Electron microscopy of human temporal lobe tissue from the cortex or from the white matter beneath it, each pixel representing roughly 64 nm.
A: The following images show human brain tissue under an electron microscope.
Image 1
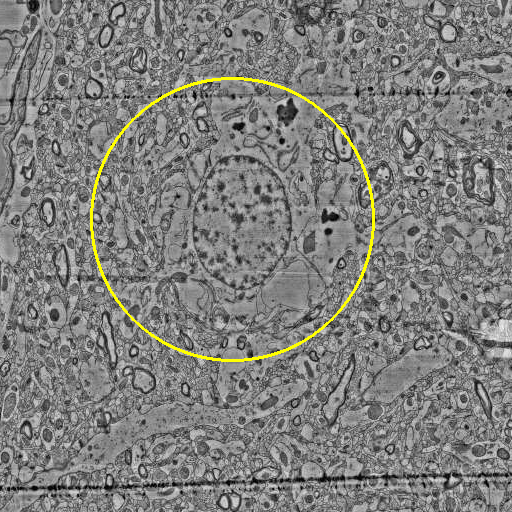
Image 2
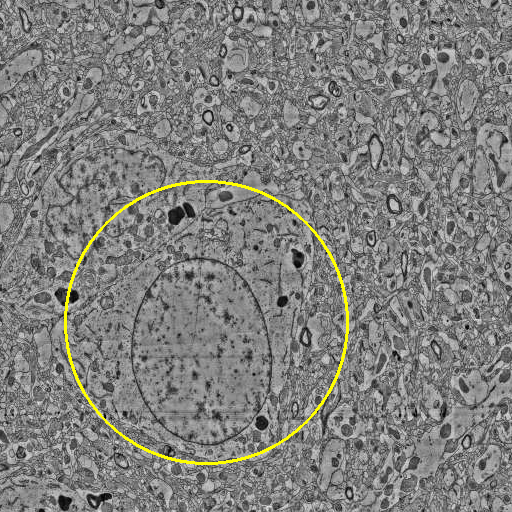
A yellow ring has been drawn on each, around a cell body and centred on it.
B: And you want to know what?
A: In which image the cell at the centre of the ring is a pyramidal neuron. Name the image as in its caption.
Image 2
